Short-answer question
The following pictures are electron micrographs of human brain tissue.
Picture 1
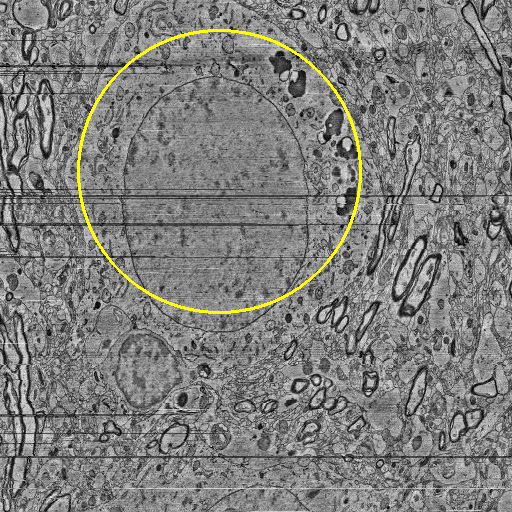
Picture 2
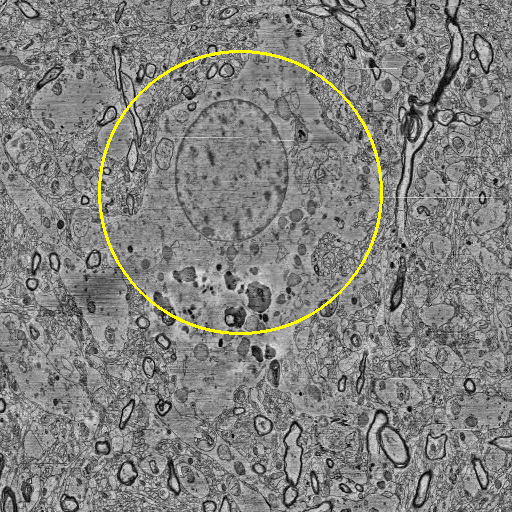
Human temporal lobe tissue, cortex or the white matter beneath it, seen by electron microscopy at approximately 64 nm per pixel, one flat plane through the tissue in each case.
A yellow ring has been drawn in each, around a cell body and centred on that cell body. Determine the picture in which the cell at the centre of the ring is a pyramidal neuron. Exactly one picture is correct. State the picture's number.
1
